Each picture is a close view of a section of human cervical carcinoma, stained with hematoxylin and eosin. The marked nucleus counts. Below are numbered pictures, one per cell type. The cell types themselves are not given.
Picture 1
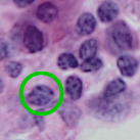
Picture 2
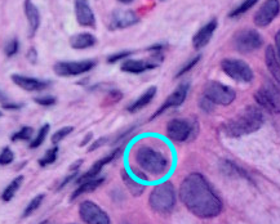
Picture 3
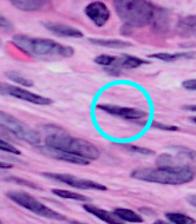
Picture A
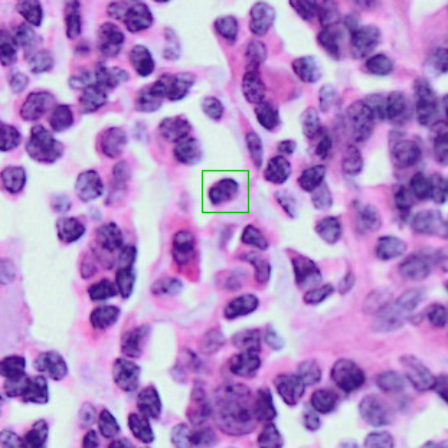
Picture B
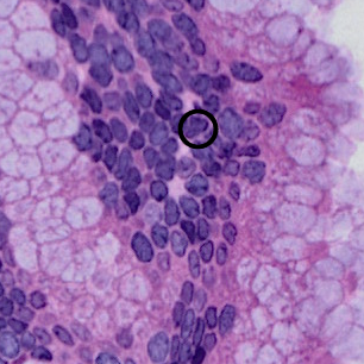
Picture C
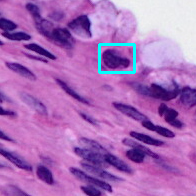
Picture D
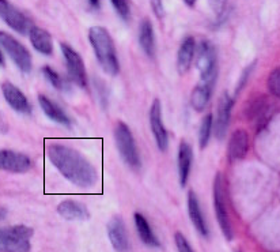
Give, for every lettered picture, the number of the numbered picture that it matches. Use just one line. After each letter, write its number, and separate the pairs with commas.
A 1, B 2, C 2, D 3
